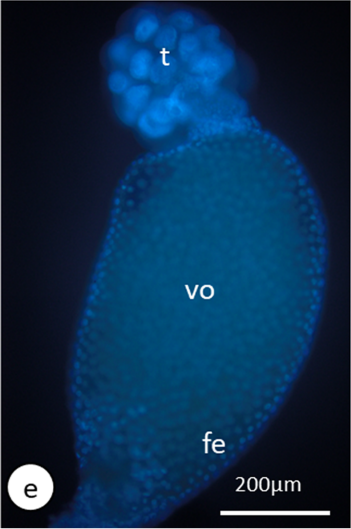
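At the top the nurse cells show as a tight bunch of large, bright, rounded nuclei. Below lies the much larger oval egg chamber. Its rim is studded with many small, evenly spaced bright nuclei: these belong to the follicular epithelium, the single cell layer that wraps the oocyte. Inside that rim the oocyte itself glows only faintly and shows no large bright nuclei of its own.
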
